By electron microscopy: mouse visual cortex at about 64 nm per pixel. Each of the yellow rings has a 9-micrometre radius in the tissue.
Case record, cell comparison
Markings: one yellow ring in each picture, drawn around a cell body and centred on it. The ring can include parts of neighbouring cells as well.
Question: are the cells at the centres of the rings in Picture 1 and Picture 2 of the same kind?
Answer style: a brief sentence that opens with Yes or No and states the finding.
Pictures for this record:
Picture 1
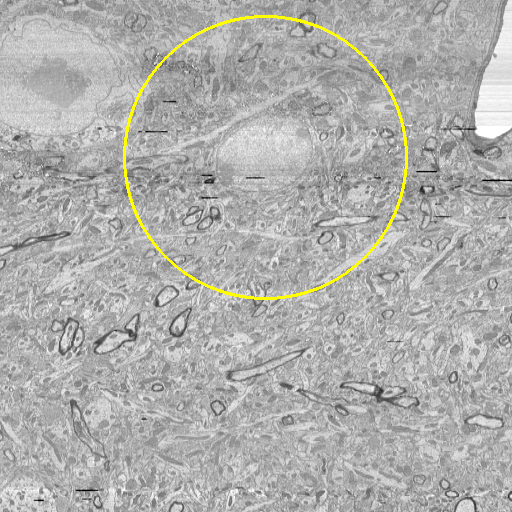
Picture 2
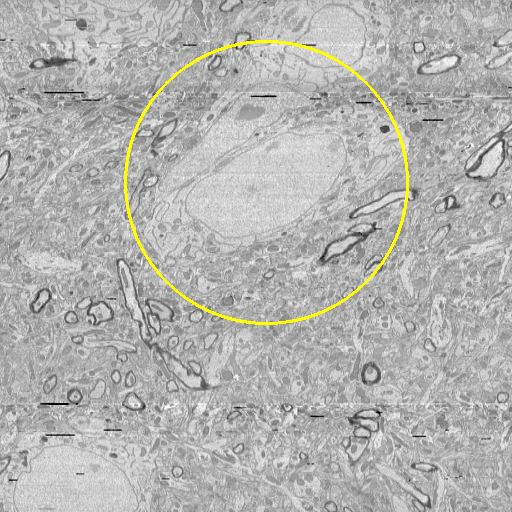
No, the cells in Picture 1 and Picture 2 are of two kinds.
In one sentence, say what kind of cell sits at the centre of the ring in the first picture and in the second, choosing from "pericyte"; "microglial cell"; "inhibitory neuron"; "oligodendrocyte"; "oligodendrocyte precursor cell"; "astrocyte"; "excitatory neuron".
The first picture's ringed cell is an astrocyte, while the second picture's is an excitatory neuron.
